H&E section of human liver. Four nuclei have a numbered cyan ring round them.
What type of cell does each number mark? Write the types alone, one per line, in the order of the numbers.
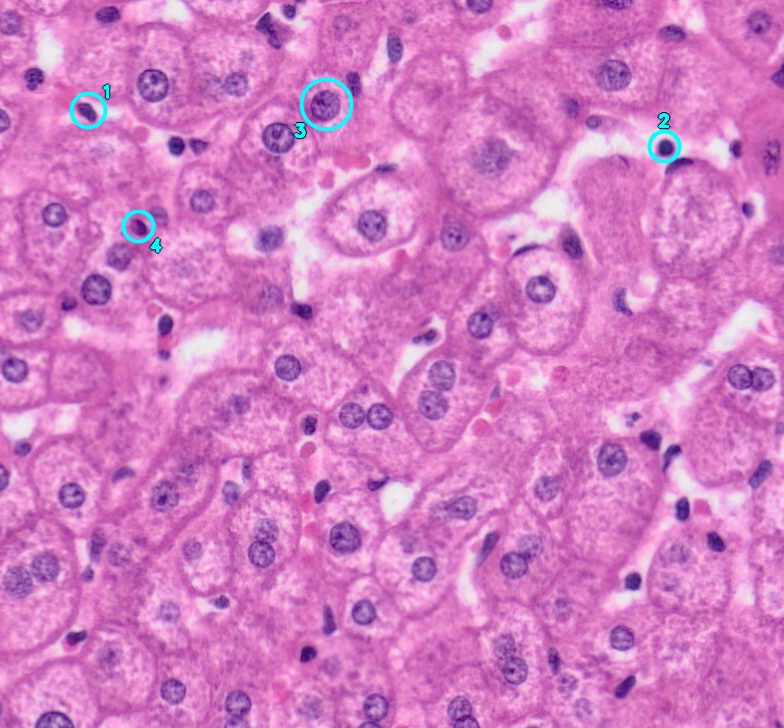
lymphocyte
lymphocyte
hepatocyte
fibroblast or stellate cell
